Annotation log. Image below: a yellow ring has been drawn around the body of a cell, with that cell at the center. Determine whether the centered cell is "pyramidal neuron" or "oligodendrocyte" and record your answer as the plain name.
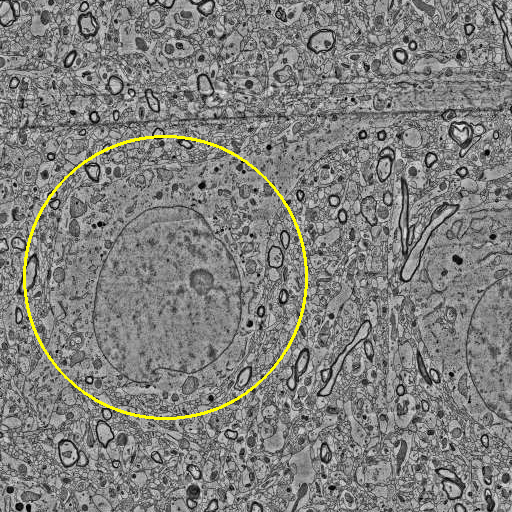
pyramidal neuron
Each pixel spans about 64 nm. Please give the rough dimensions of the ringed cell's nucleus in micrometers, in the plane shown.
In this plane, the nucleus is roughly 12 by 9 micrometres.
